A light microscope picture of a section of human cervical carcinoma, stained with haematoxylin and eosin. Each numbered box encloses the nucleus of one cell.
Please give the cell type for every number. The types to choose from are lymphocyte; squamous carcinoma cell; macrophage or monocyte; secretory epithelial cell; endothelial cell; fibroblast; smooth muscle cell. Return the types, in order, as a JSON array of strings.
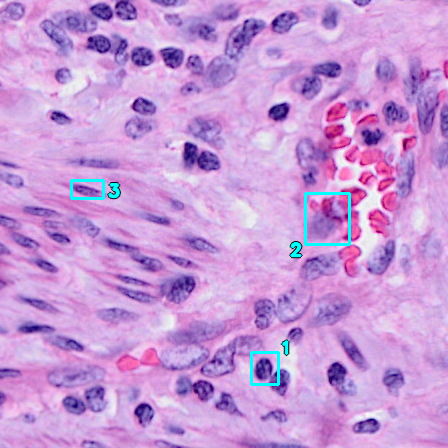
["lymphocyte", "endothelial cell", "smooth muscle cell"]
